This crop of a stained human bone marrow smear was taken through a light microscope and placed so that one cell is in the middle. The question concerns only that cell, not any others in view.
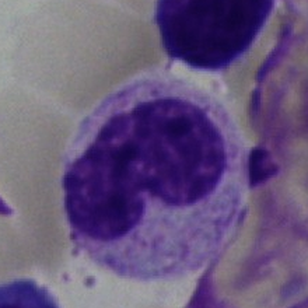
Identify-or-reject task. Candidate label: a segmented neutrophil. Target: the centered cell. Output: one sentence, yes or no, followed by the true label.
No, the cell at the centre of the crop corresponds to a band neutrophil, not a segmented neutrophil.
